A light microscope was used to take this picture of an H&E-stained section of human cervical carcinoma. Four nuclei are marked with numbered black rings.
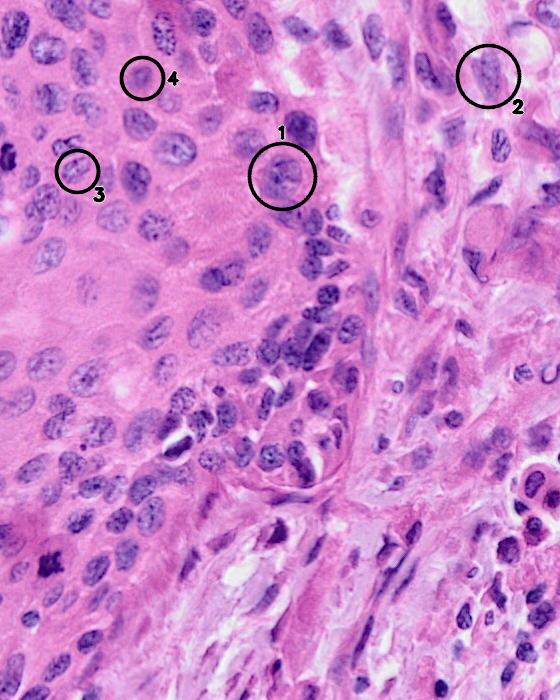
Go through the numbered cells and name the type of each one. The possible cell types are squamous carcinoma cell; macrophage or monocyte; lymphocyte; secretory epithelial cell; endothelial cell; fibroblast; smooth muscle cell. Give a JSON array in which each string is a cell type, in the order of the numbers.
["squamous carcinoma cell", "fibroblast", "squamous carcinoma cell", "squamous carcinoma cell"]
